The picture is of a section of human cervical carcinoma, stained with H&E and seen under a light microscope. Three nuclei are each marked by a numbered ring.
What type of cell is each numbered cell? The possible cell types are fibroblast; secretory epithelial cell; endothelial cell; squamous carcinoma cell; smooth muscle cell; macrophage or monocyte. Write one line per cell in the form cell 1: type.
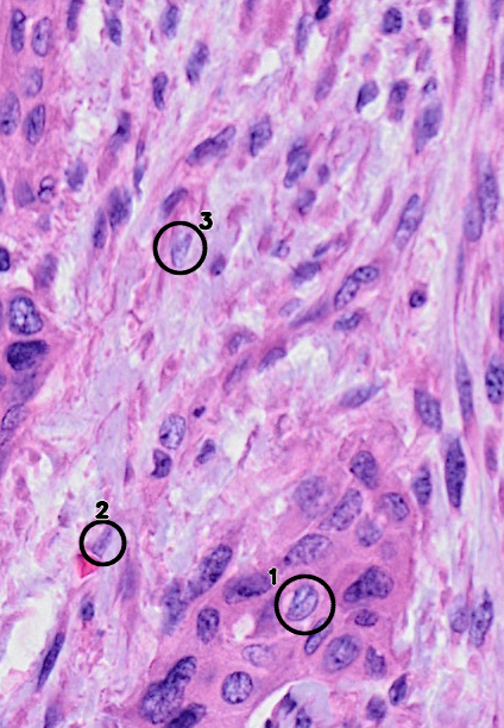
cell 1: squamous carcinoma cell
cell 2: endothelial cell
cell 3: fibroblast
